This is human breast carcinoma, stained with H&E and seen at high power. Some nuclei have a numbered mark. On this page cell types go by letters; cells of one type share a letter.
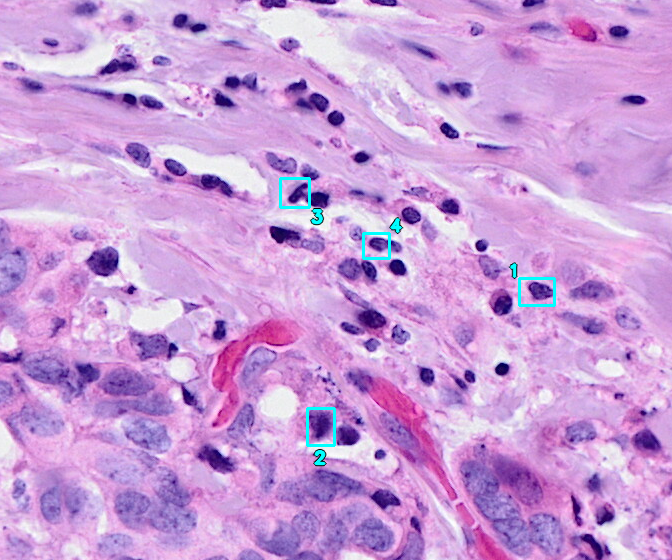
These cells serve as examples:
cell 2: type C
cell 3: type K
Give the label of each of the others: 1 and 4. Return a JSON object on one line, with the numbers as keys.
{"1": "type K", "4": "type K"}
